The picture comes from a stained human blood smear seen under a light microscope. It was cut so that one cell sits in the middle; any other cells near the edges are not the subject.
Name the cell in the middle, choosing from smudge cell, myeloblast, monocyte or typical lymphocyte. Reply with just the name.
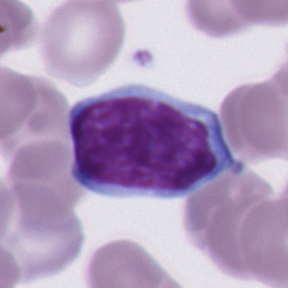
typical lymphocyte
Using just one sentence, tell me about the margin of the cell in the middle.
An uneven margin is present, with either ragged stretches or outward projections.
